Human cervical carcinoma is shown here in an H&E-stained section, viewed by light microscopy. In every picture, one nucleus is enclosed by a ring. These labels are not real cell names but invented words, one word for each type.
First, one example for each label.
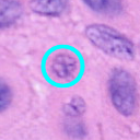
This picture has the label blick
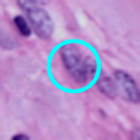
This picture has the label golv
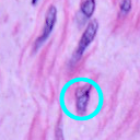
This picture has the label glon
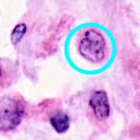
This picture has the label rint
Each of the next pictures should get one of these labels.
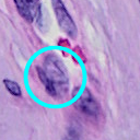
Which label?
golv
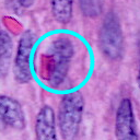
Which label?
golv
